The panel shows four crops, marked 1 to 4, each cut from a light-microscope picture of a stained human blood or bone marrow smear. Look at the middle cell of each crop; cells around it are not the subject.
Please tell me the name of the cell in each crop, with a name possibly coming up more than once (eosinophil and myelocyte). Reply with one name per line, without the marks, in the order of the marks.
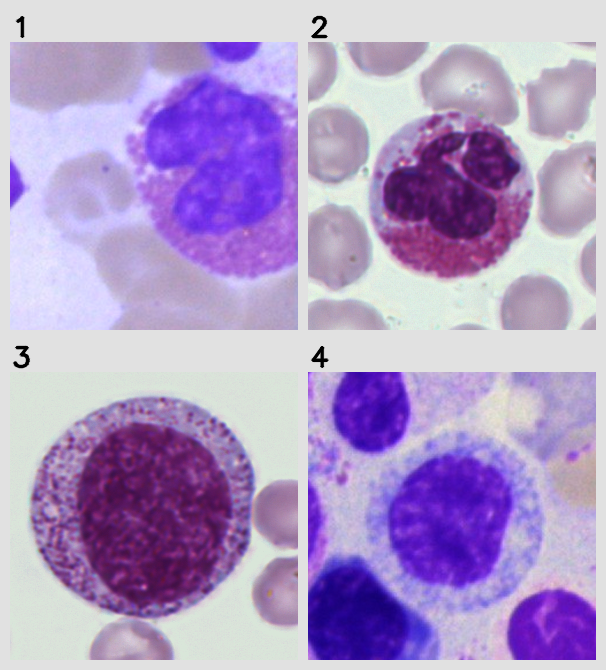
eosinophil
eosinophil
myelocyte
myelocyte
